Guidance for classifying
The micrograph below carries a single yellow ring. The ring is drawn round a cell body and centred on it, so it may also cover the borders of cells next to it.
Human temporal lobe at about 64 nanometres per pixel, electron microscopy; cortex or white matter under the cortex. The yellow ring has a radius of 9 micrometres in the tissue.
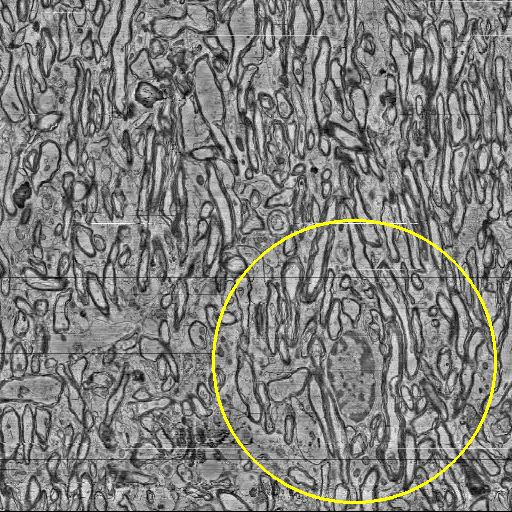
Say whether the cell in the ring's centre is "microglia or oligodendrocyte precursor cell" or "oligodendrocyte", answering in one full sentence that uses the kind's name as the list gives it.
Within the yellow ring, a microglial cell or oligodendrocyte precursor cell is the cell whose body sits at the centre.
